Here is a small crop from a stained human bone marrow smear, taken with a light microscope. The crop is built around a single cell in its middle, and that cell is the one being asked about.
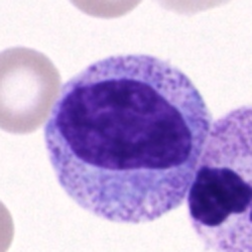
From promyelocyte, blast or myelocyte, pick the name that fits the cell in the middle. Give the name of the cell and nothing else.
myelocyte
